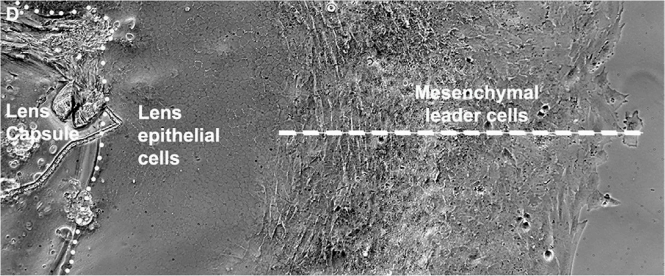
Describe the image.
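Near the capsule the epithelial cells form a flat, smooth, closely packed sheet. Farther out the texture changes to a dense band of elongated, spindle-shaped cells with long processes, many aligned in streaks. At the far right only a few scattered cells lie on the otherwise empty surface.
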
